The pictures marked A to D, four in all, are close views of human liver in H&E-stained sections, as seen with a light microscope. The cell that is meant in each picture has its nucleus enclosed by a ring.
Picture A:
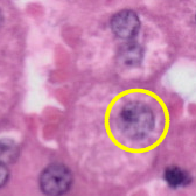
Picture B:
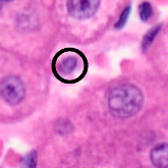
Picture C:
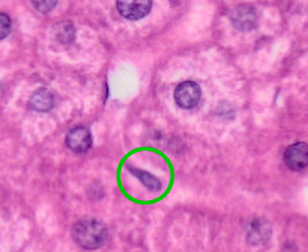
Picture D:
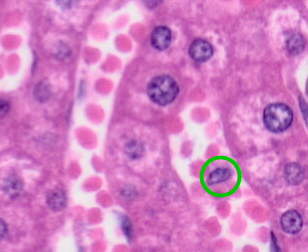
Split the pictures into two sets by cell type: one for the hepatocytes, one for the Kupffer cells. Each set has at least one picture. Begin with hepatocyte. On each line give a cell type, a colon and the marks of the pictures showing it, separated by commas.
hepatocyte: A
Kupffer cell: B, C, D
